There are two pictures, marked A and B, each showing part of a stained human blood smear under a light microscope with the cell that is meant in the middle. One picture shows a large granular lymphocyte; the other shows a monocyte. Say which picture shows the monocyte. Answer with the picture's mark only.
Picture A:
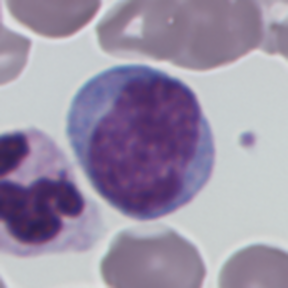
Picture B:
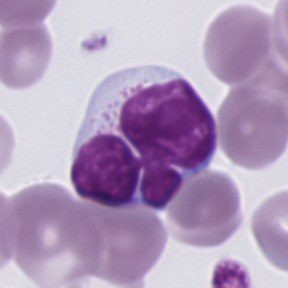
A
